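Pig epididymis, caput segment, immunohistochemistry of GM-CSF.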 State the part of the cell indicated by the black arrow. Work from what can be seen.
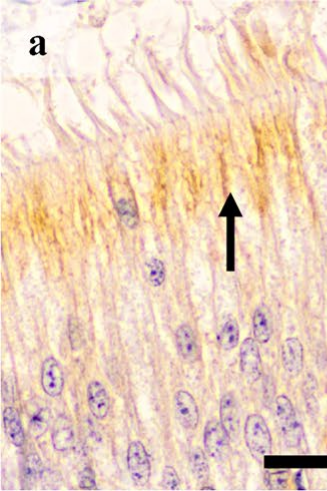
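Supranuclear region. Tall columnar epithelium with blue oval nuclei in the lower part. Brown stain is concentrated in a band above the nuclei. The arrow points into this brown band, not to the nuclei.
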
